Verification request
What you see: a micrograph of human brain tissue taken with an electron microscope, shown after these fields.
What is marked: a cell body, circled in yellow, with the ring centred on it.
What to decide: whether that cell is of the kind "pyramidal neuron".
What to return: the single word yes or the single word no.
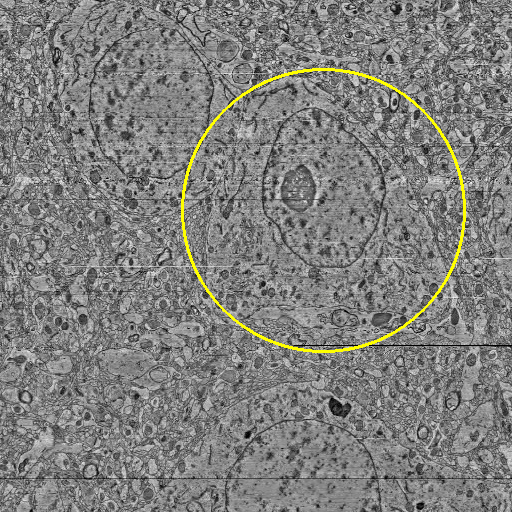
yes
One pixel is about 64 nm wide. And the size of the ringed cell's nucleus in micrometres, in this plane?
Roughly 10 by 9 micrometres in this plane, for the nucleus of the ringed cell.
